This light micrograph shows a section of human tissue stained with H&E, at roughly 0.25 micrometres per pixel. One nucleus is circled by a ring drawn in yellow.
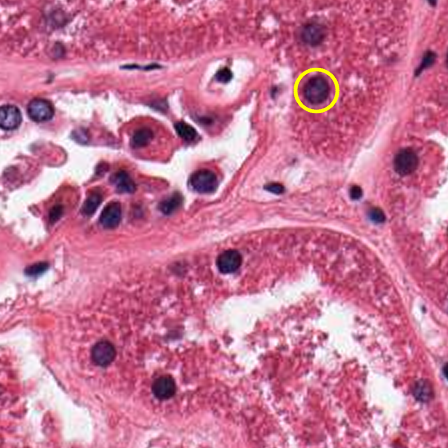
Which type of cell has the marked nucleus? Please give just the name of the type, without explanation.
proximal tubule cell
